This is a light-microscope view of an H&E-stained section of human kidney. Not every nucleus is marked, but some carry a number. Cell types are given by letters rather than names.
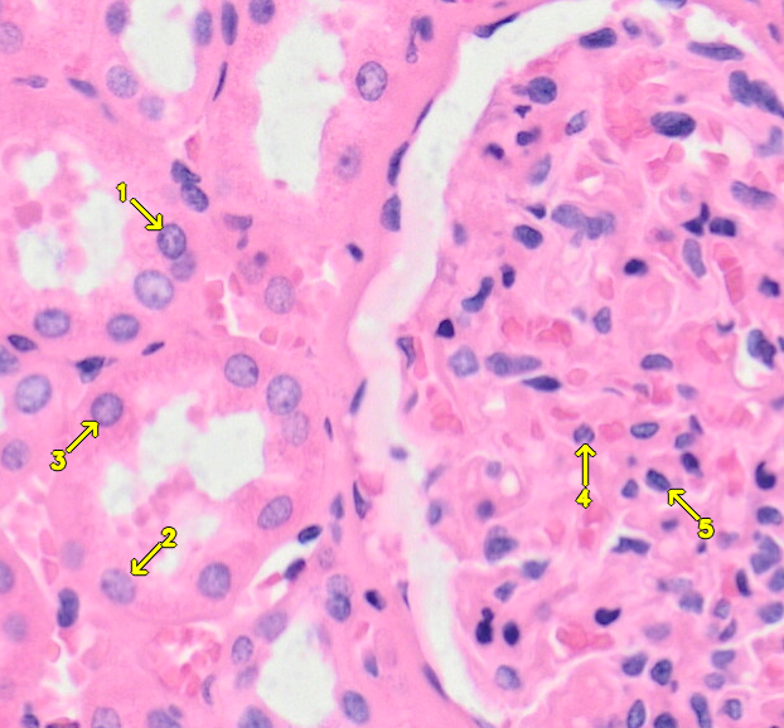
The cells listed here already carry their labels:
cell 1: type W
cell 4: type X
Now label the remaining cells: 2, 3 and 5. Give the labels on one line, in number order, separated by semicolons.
type W; type W; type X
